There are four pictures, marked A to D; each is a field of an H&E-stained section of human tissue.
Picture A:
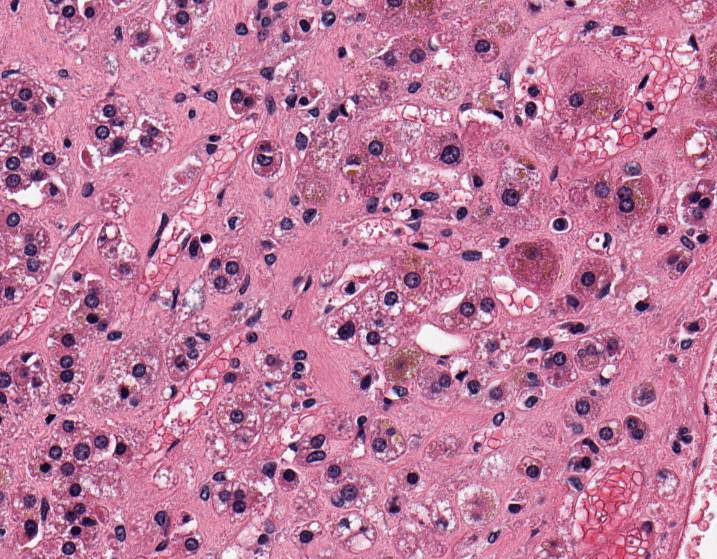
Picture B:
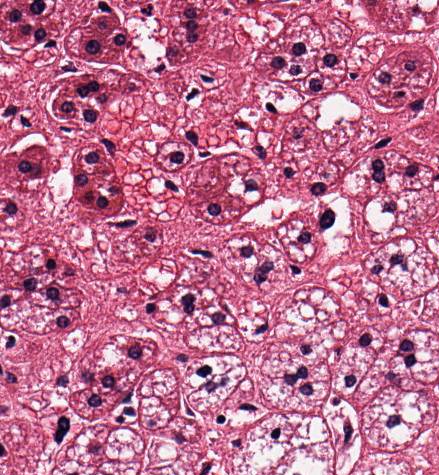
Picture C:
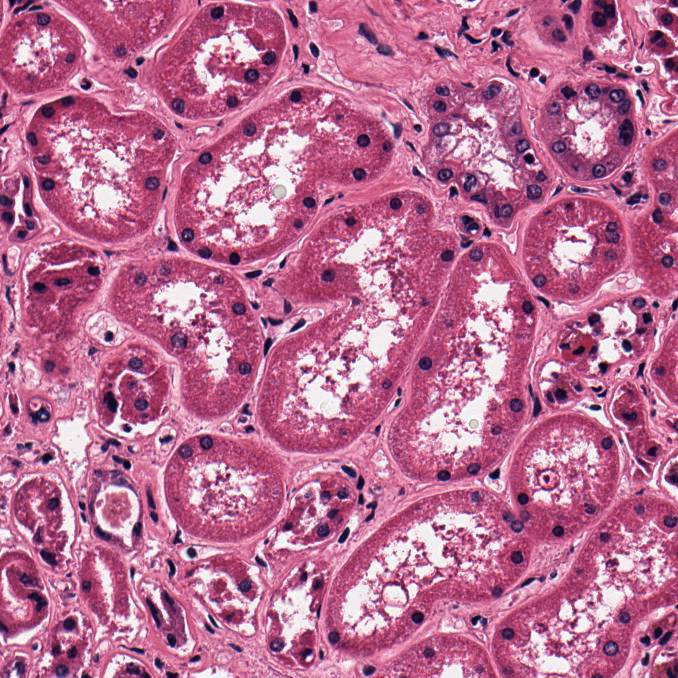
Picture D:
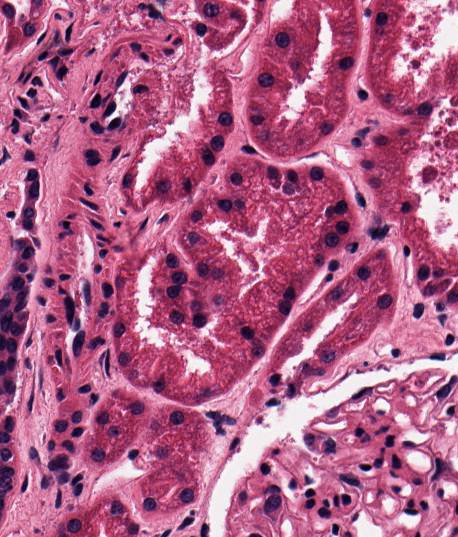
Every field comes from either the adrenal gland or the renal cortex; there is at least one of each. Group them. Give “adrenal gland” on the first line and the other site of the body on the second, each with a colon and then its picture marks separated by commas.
adrenal gland: A, B
renal cortex: C, D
